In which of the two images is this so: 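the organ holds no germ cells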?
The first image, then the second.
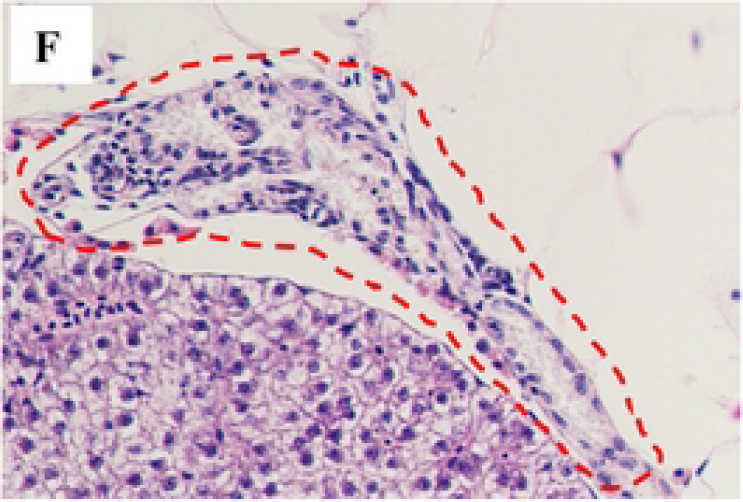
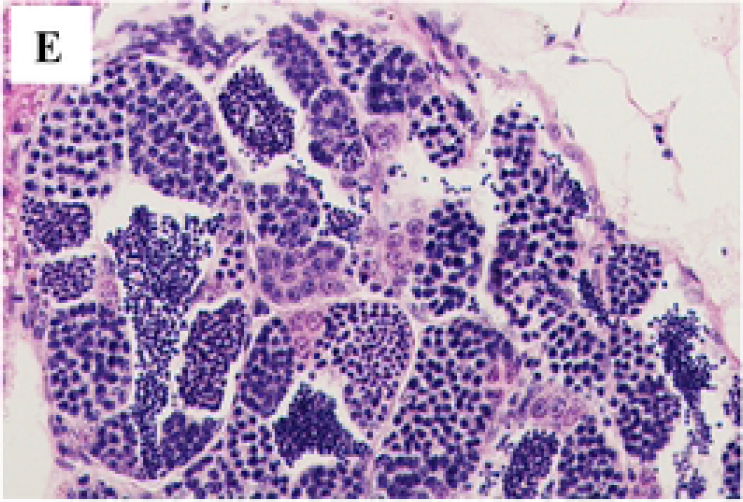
The first image.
